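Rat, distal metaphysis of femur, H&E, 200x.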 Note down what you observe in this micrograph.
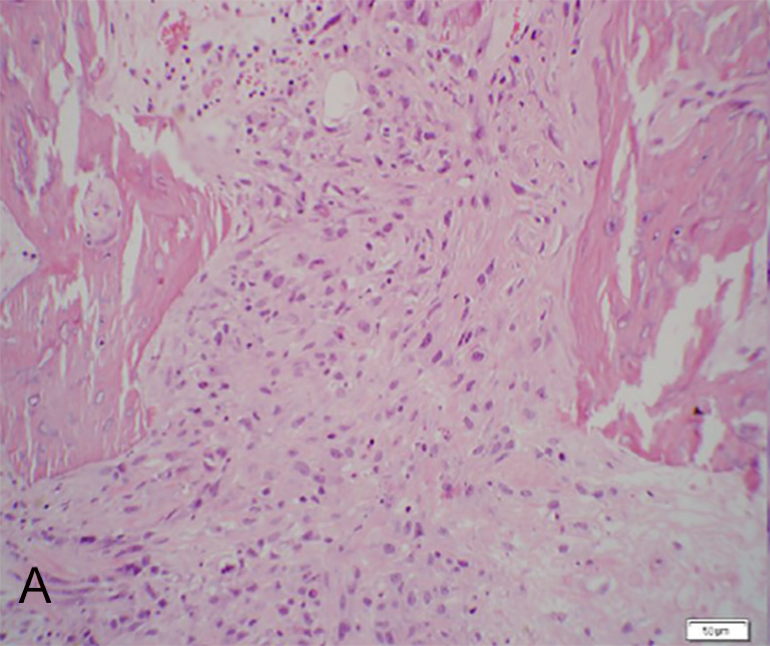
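The cells run in a broad band through the middle, polygonal to spindle shaped, with lightly pink cytoplasm and plump oval to elongated purple nuclei, often aligned in streams. On the left and right lie irregular bands of deep pink, dense matrix with a few cells set in small spaces within it, and cracks running through it. Toward the top, cells are looser, with scattered small dark cells and a small vessel among them.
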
